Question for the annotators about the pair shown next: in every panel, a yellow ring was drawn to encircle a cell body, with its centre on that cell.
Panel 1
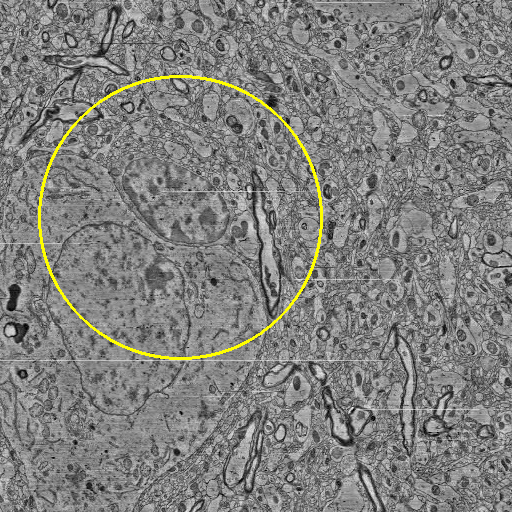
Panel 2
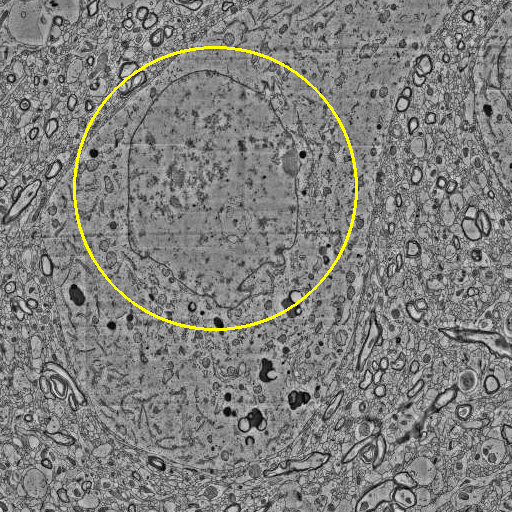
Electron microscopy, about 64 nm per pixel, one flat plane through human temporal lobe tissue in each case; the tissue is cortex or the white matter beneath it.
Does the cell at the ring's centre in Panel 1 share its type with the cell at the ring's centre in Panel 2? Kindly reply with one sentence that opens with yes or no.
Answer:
No, in Panels 1 and 2 the cells at the ring centres belong to separate types.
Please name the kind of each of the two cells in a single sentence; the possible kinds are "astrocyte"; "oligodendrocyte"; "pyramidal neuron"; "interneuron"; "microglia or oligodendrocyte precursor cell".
In the first picture the ring is centred on an oligodendrocyte, and in the second on a pyramidal neuron.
